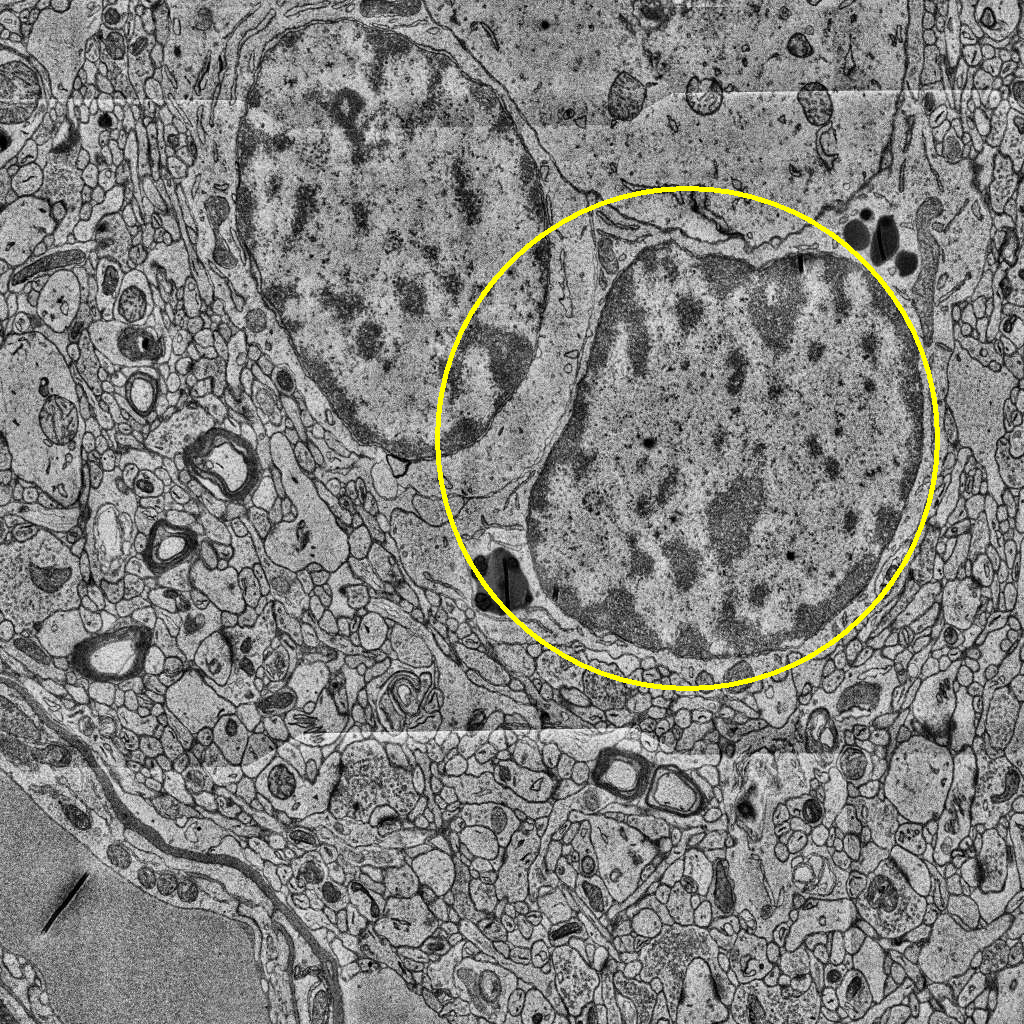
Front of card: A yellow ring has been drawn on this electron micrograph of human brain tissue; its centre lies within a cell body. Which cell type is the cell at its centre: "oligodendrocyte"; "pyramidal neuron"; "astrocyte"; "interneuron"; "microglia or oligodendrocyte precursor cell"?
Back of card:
microglia or oligodendrocyte precursor cell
